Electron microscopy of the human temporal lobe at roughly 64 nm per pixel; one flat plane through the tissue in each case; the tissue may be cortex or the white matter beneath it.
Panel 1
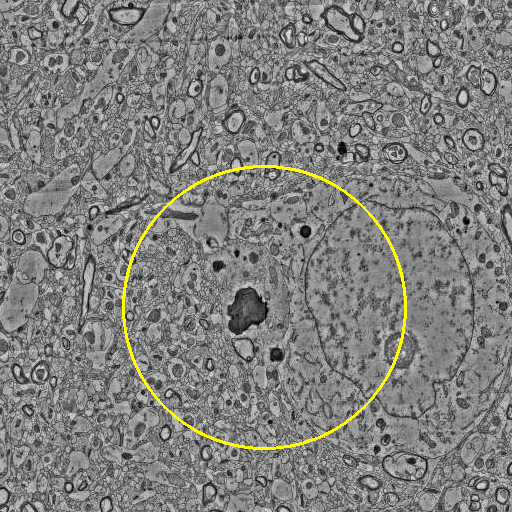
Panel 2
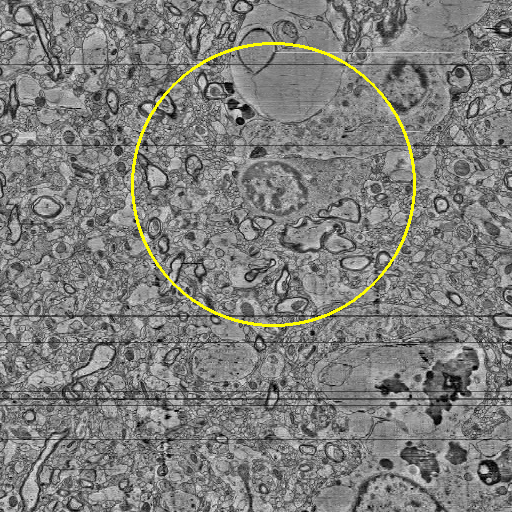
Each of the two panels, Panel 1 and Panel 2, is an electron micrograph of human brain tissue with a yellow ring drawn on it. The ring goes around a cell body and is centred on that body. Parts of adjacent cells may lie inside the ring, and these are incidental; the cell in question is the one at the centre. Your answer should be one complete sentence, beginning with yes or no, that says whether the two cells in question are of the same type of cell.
Yes, the two cells are of the same type.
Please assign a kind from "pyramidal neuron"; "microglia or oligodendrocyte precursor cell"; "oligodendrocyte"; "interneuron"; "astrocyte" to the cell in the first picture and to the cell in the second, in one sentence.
Each cell at the centre of a ring is an oligodendrocyte.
